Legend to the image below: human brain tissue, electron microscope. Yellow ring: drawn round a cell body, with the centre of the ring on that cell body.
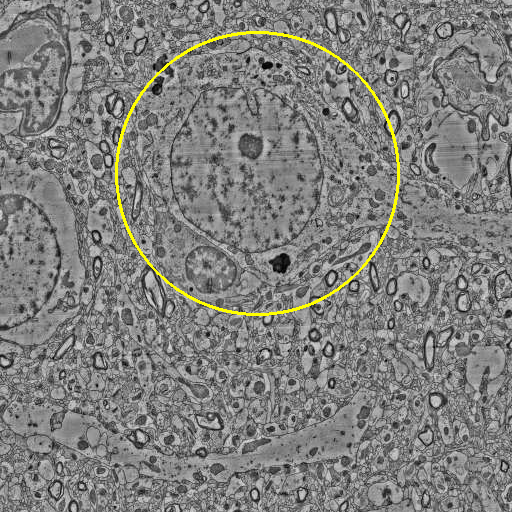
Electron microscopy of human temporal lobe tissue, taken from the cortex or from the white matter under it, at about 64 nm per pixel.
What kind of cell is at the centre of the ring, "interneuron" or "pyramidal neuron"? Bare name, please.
pyramidal neuron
